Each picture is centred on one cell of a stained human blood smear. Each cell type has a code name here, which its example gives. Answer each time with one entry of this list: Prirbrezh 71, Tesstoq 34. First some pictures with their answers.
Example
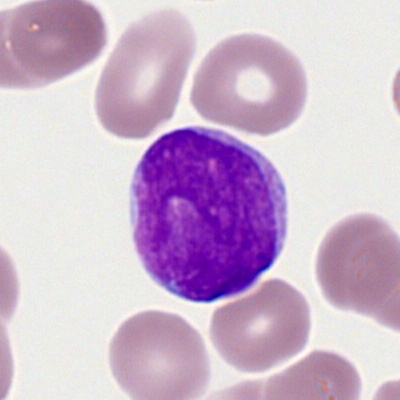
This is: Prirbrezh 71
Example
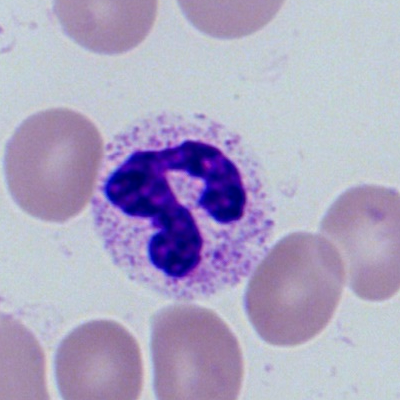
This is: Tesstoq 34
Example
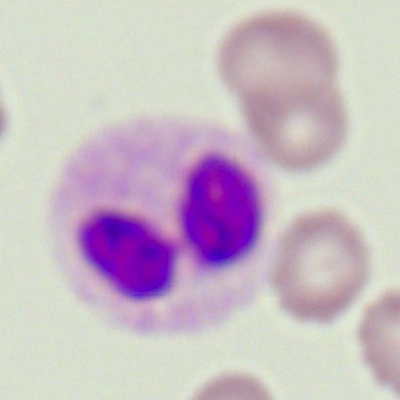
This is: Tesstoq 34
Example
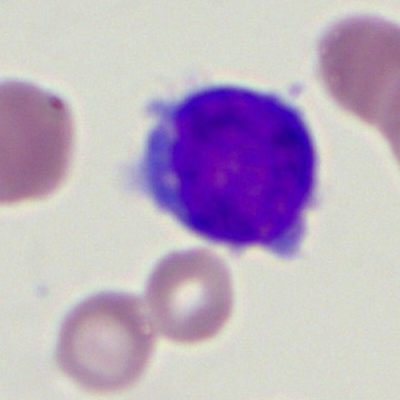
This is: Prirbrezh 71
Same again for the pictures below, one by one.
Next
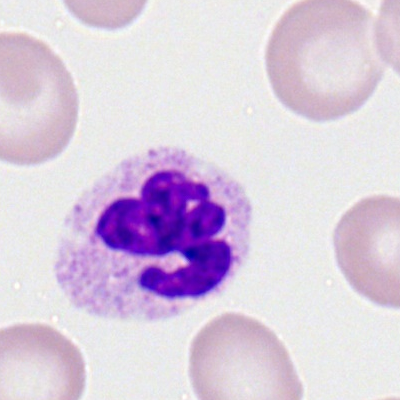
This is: Tesstoq 34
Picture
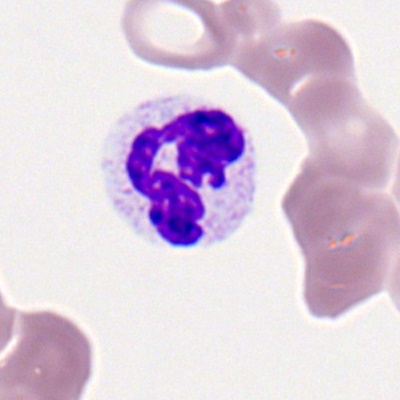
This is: Tesstoq 34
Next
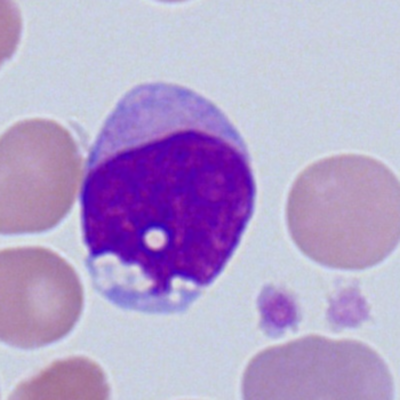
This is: Prirbrezh 71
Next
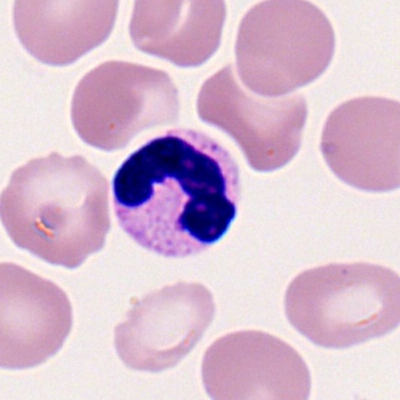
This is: Tesstoq 34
